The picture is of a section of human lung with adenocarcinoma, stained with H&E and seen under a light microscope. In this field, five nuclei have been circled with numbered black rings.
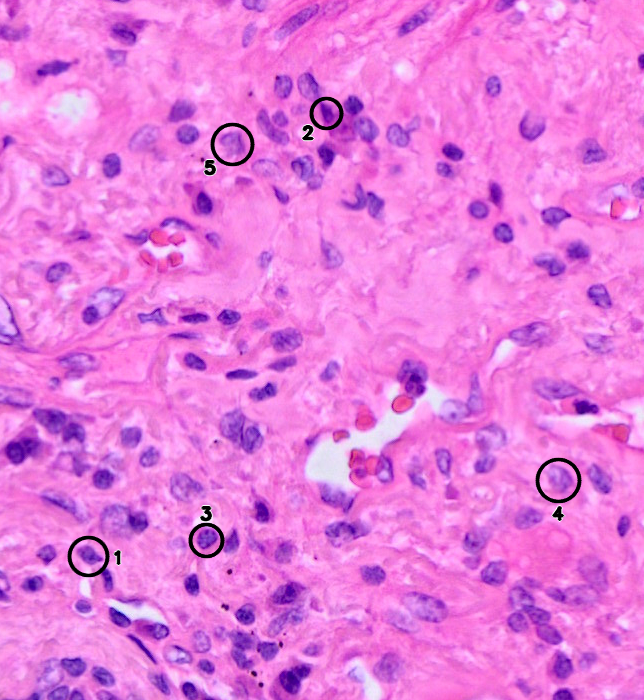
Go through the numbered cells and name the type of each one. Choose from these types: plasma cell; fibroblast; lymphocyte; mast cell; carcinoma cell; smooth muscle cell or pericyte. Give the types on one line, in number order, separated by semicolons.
lymphocyte; plasma cell; mast cell; fibroblast; fibroblast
